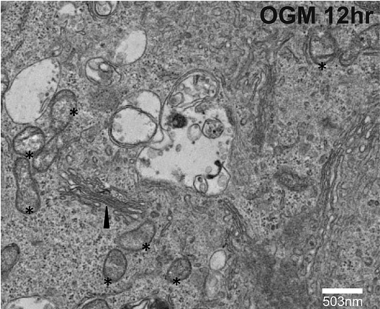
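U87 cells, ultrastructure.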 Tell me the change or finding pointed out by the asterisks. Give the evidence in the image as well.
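The asterisks sit beside small, rounded, double-membrane-bound organelles.
Hence: disrupted mitochondria.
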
